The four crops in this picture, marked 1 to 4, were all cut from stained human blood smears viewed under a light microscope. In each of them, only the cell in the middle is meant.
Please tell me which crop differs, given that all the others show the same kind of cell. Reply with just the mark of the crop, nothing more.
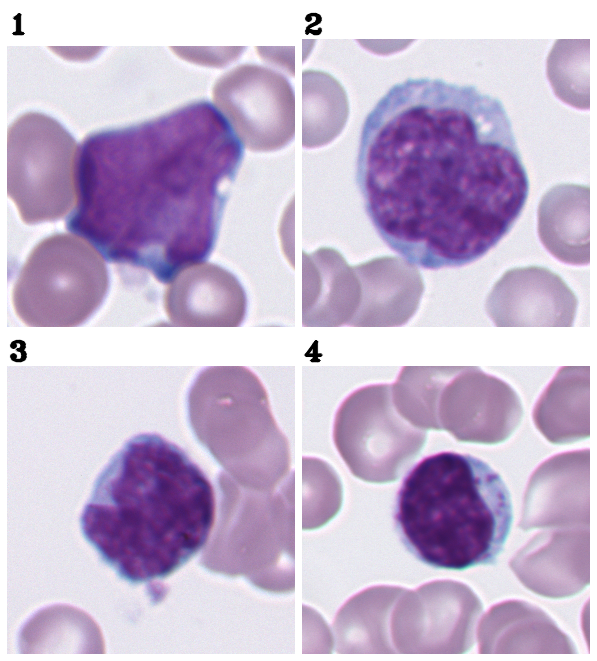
4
